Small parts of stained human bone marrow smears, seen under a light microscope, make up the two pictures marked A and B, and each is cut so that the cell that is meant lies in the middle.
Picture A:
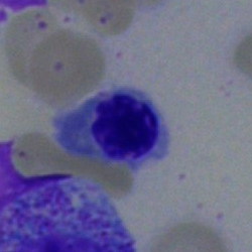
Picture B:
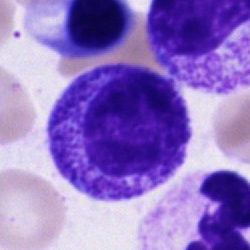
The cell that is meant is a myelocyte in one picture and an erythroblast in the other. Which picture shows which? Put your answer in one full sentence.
It is picture A that shows an erythroblast, and picture B that shows a myelocyte.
